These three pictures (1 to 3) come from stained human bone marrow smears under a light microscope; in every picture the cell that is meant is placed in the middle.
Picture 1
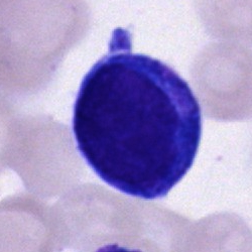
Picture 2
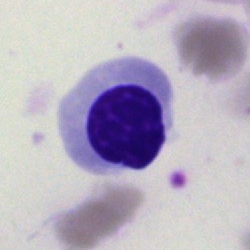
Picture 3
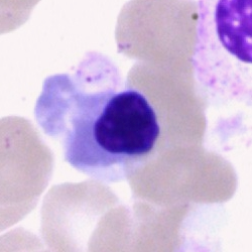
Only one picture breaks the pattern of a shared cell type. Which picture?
1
